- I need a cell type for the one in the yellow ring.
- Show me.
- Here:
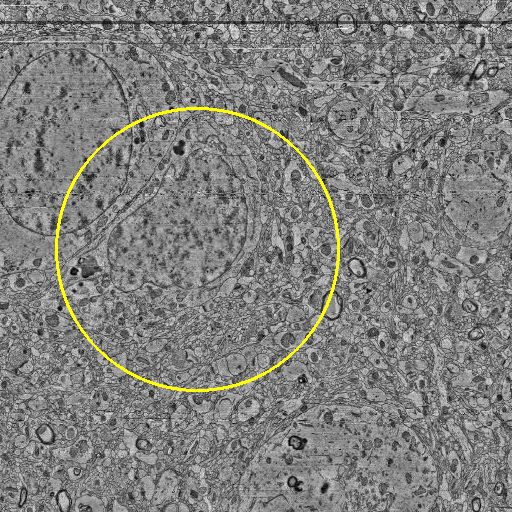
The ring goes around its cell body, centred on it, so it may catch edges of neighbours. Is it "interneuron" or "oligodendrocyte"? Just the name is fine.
interneuron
